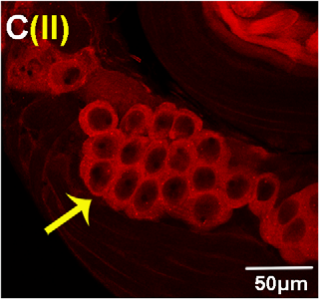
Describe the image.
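A cyst of mature spermatocytes is seen inside the testis, as large round cells packed in rows. Each cell shows a big round nucleus that is darker than the surrounding red cytoplasm, giving a ring-like appearance. Neighbouring cysts with similar rounded cells lie along the tube, and the coiled testis wall runs at the top of the field.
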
